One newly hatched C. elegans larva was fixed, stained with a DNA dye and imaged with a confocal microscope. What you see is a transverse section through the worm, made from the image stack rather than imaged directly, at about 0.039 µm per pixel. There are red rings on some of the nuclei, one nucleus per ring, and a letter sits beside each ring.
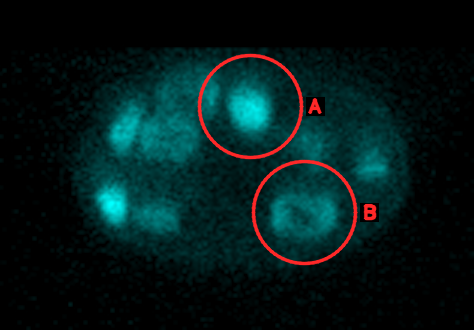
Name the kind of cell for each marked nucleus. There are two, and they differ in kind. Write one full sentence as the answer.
A is the nucleus of a neuron; B is the nucleus of an intestinal cell.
